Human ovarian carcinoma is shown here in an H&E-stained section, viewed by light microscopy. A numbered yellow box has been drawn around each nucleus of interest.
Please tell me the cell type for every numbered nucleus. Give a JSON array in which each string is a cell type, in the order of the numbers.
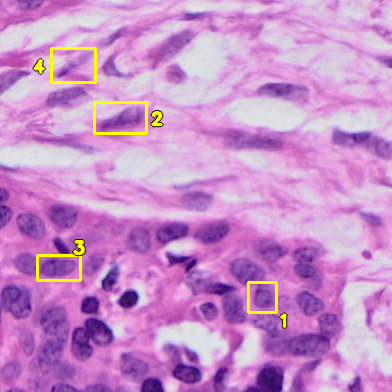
["carcinoma cell", "fibroblast", "carcinoma cell", "fibroblast"]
